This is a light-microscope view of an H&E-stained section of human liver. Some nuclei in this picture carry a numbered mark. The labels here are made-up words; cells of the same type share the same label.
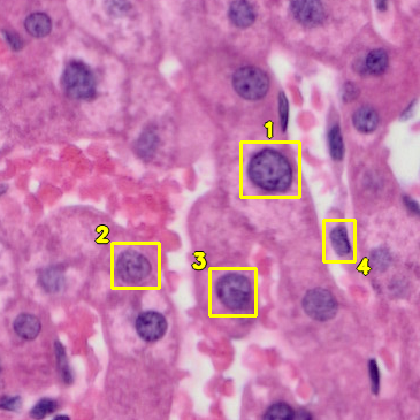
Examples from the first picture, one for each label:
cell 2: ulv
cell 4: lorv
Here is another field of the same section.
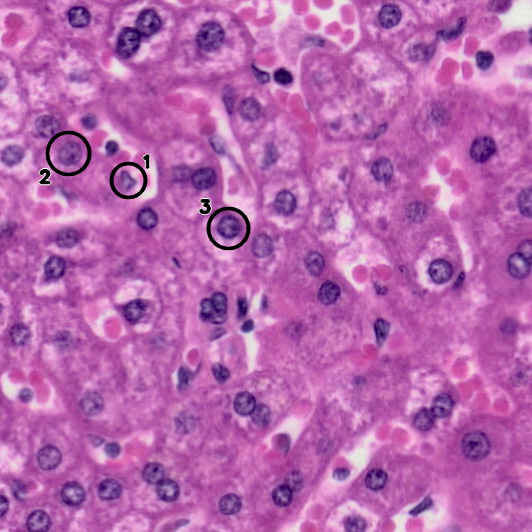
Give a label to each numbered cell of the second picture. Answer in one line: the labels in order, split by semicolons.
lorv; ulv; ulv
